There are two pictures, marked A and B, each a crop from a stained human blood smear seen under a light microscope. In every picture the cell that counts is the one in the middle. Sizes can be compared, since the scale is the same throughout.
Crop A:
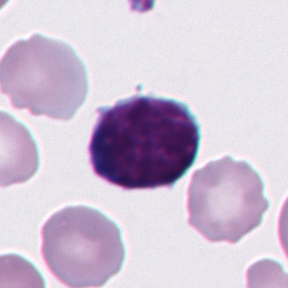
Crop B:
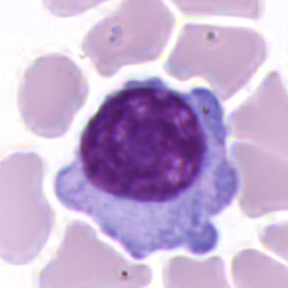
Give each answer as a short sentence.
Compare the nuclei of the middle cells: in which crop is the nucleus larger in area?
Crop B shows the larger nucleus; it covers about 1.5 times the area of the nucleus in crop A.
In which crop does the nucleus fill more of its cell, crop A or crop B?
In crop A the nucleus takes up the larger part of its cell.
